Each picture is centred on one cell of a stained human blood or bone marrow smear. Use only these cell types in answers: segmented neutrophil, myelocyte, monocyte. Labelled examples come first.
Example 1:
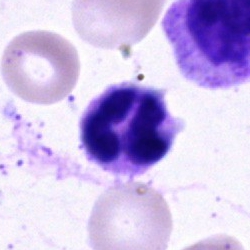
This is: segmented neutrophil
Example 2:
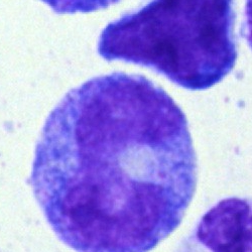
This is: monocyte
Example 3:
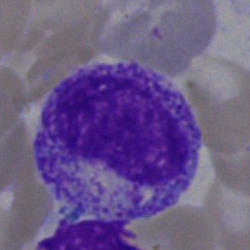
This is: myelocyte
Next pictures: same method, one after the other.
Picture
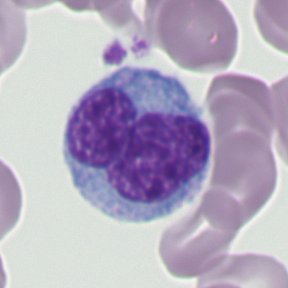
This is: monocyte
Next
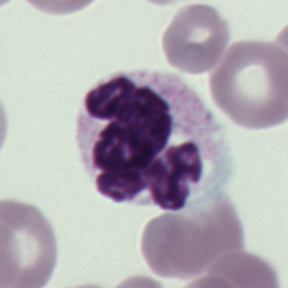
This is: segmented neutrophil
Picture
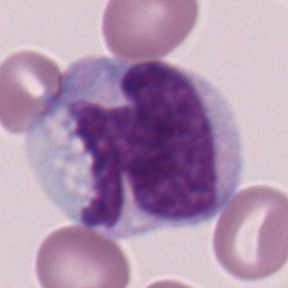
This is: monocyte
